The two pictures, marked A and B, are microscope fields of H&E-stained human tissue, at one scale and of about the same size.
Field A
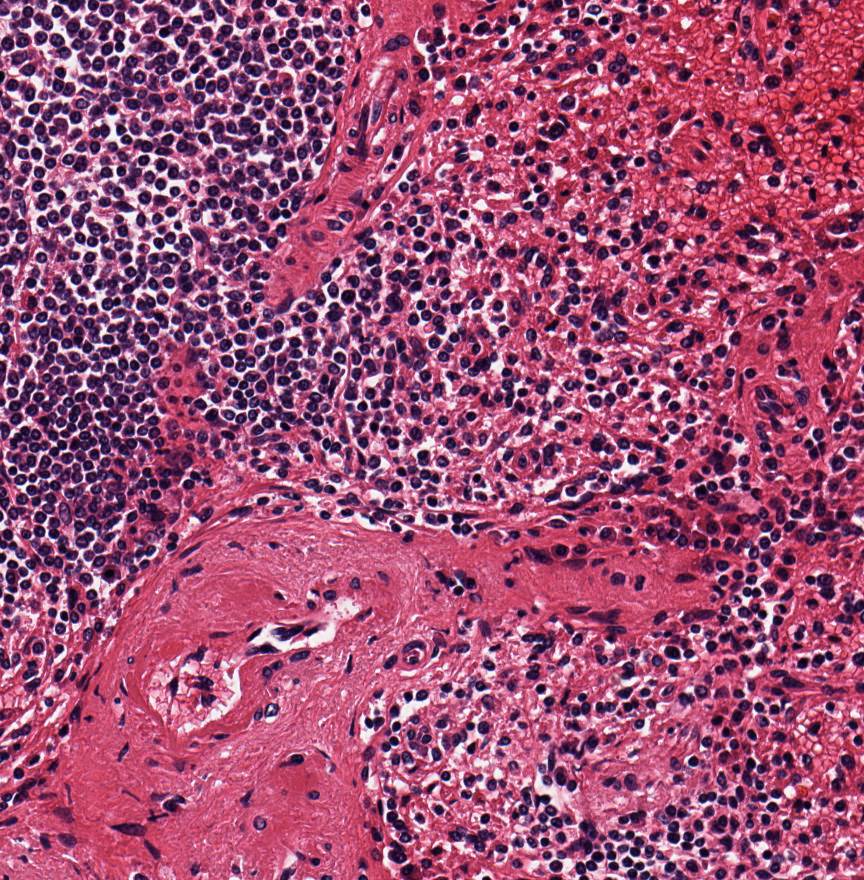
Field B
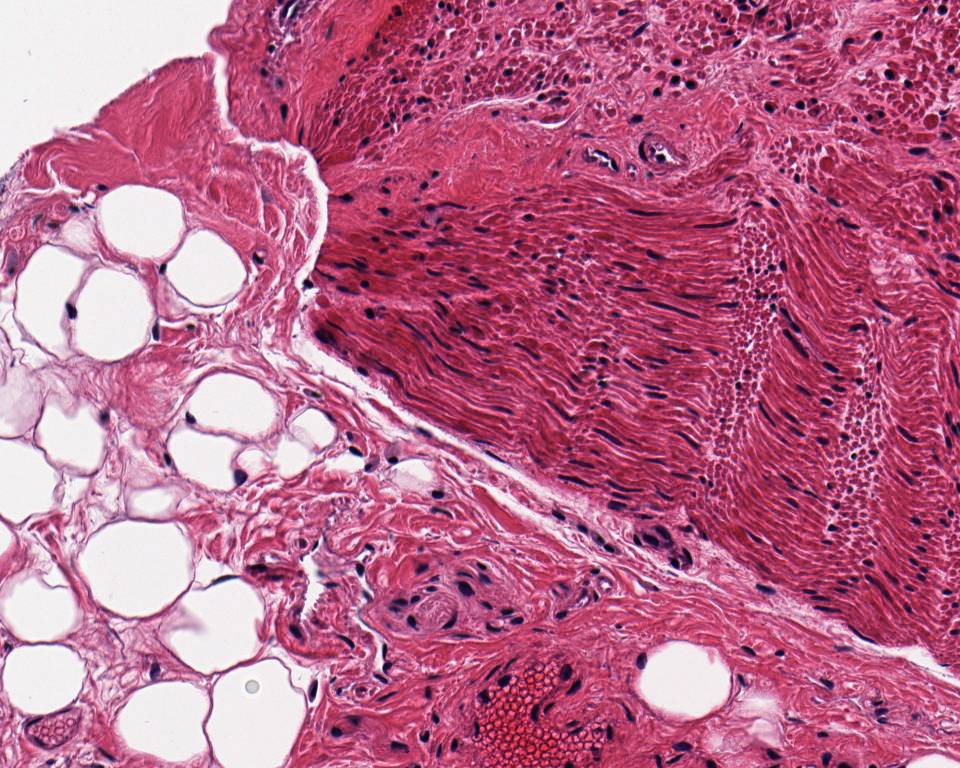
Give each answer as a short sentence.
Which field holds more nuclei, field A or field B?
There are more nuclei in field A.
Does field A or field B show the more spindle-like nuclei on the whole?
On the whole the nuclei of field B are more drawn out than those of field A.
